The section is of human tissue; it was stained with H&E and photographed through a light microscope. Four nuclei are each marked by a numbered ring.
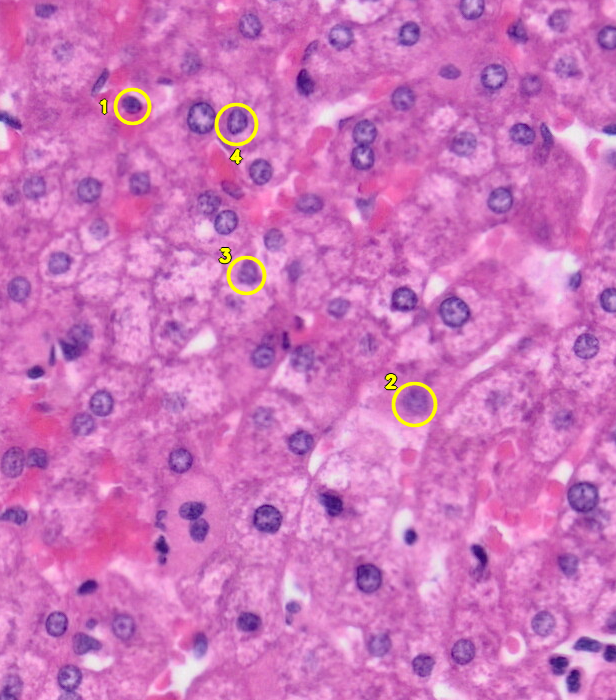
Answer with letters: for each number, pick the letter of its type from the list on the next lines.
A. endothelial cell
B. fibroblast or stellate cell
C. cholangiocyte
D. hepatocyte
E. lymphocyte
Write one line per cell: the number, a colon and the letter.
1: E
2: D
3: D
4: D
